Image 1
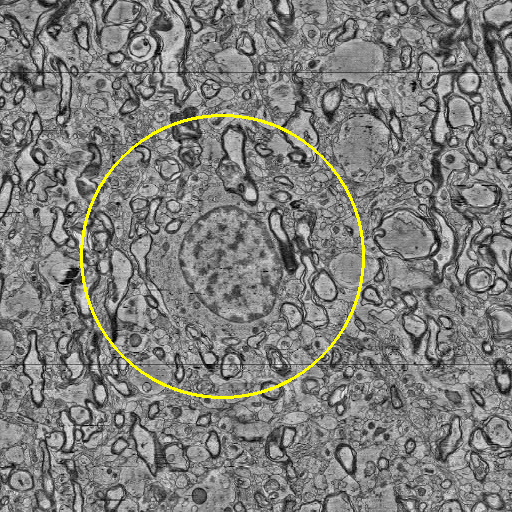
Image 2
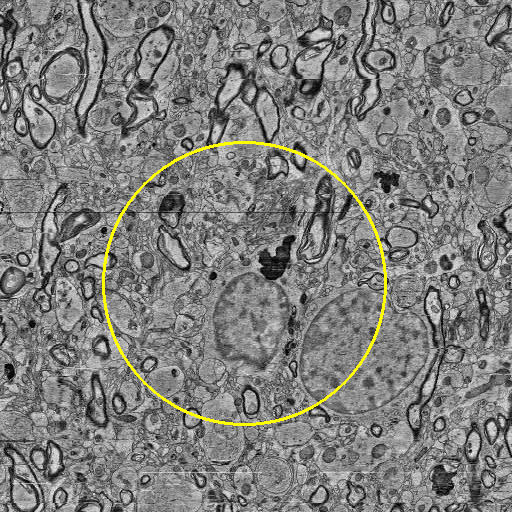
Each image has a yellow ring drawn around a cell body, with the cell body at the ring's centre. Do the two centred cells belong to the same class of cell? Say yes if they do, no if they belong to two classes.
yes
